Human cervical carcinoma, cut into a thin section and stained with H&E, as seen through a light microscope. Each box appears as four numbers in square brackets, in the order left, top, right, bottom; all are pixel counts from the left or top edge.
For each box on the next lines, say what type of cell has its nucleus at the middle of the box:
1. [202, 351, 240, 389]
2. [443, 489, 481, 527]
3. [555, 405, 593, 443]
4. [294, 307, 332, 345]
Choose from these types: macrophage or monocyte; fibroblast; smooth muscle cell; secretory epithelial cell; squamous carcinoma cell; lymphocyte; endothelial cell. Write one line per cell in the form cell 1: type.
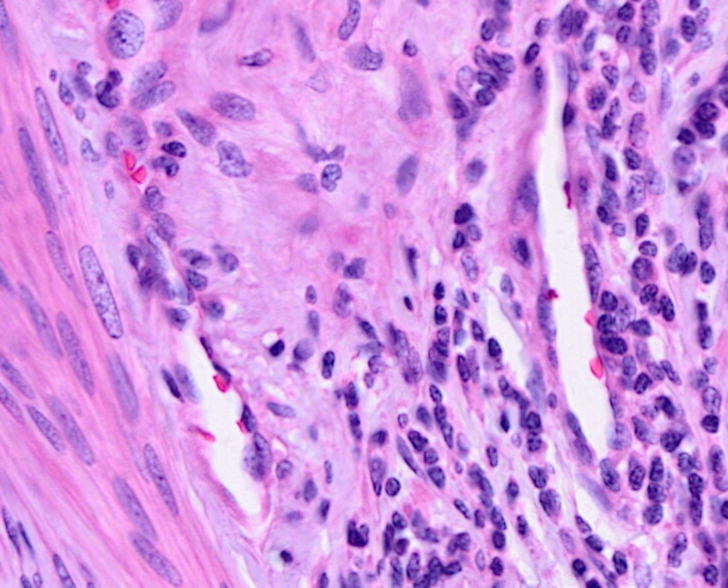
cell 1: endothelial cell
cell 2: lymphocyte
cell 3: endothelial cell
cell 4: fibroblast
